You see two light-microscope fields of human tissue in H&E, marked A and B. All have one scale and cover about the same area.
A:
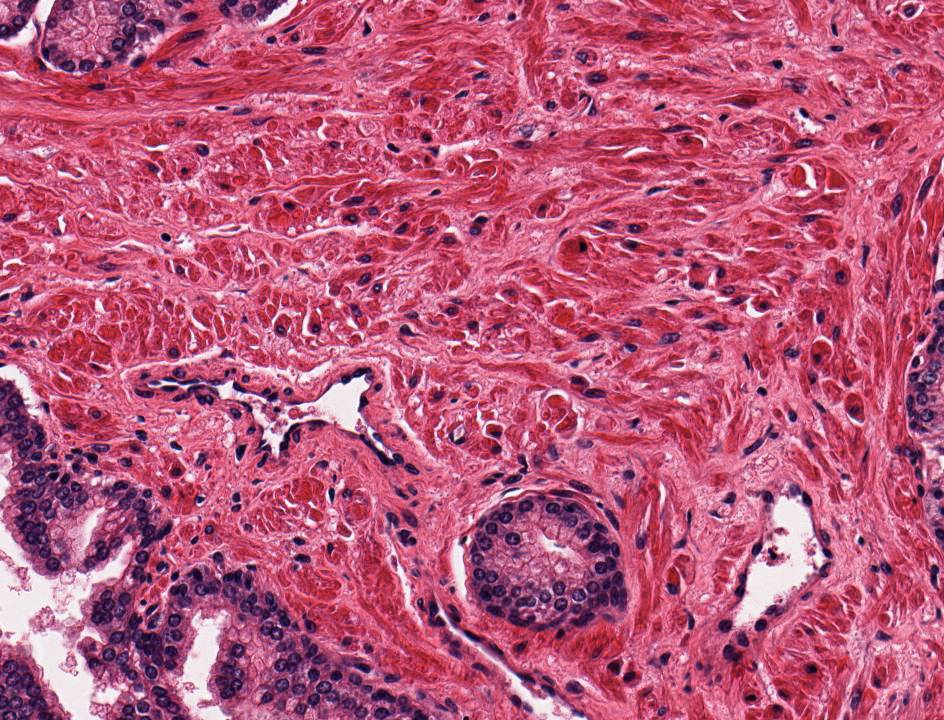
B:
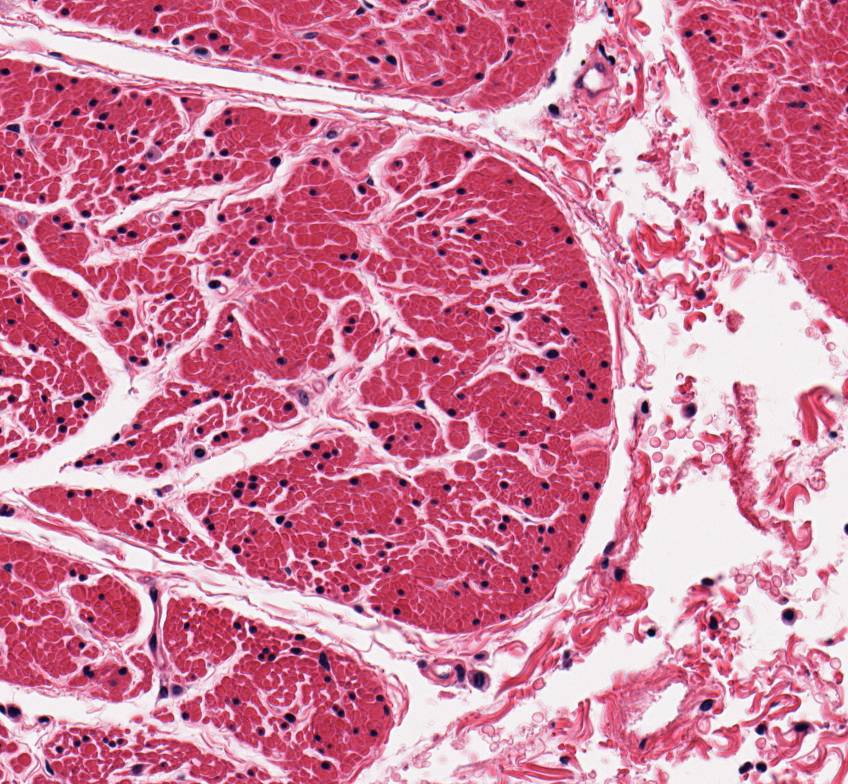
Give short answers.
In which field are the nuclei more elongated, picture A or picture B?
A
